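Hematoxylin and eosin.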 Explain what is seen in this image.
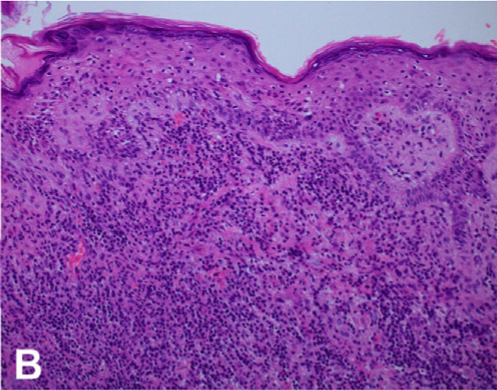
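Skin with stratified squamous epidermis over a dermis filled by lymphoid cells. The epidermis has a thin pink cornified layer and pale keratinocytes. Below it, small dark-nucleated cells form a dense sheet through the dermis. The infiltrate surrounds epithelial projections reaching down from the epidermis, with few cells within the epidermis itself.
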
